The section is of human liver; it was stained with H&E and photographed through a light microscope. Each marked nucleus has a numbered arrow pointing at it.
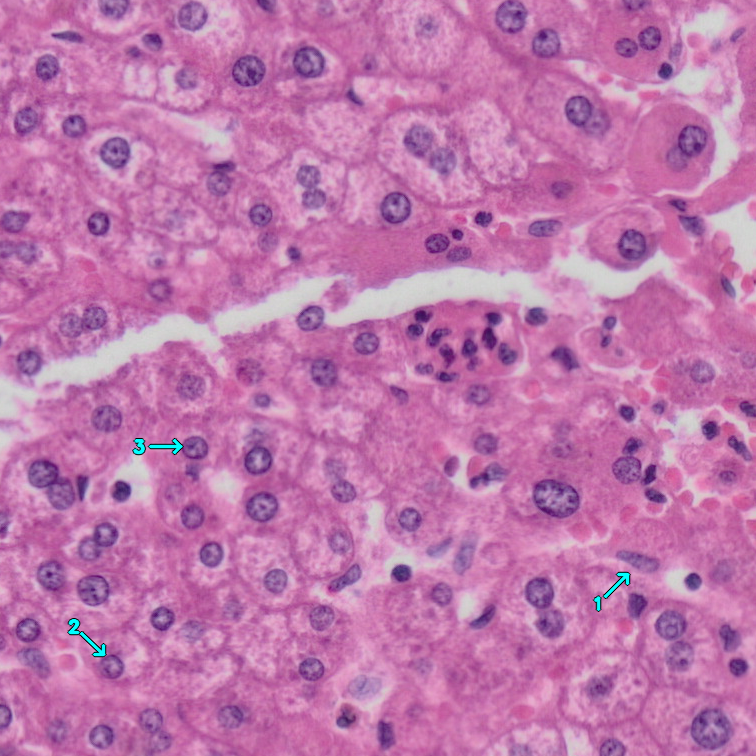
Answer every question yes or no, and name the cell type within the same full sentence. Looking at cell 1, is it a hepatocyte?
No, it's not a hepatocyte at number 1; that cell is a Kupffer cell.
